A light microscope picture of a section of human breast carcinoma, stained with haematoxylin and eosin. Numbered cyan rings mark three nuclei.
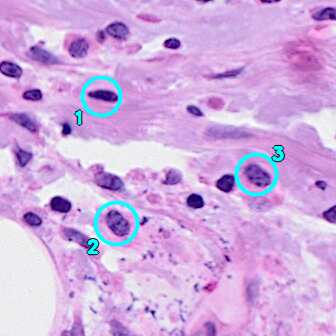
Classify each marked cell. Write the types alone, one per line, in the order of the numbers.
lymphocyte
mast cell
mast cell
